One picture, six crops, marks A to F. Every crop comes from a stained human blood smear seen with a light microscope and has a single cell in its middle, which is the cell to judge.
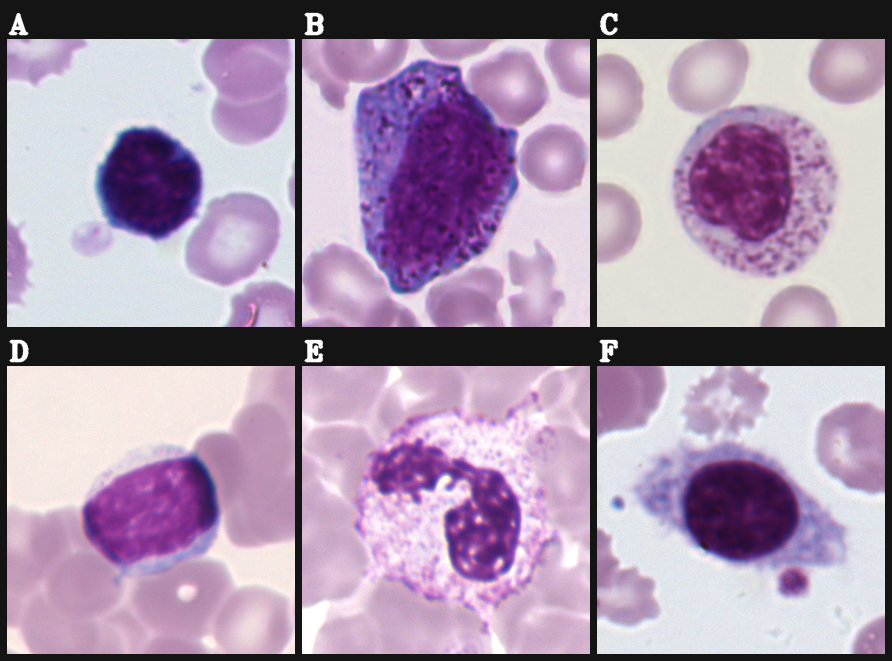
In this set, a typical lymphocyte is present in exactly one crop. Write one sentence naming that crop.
Among all the crops given here, the one with a typical lymphocyte is crop A.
